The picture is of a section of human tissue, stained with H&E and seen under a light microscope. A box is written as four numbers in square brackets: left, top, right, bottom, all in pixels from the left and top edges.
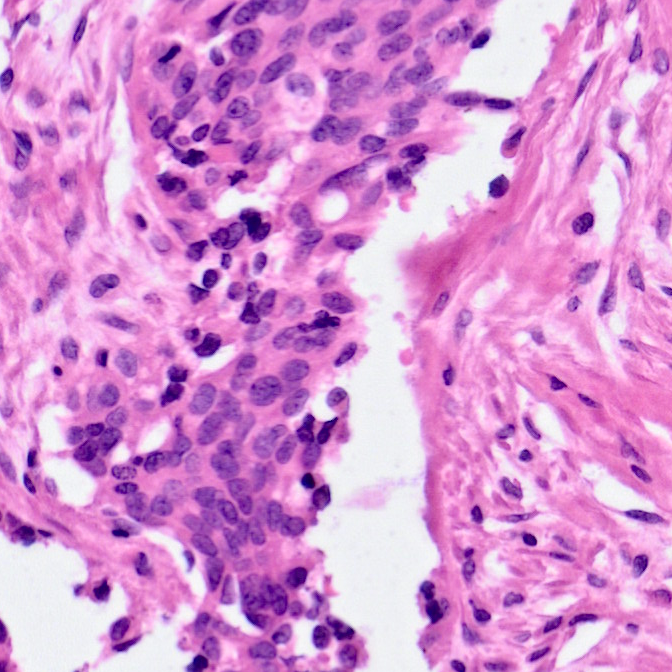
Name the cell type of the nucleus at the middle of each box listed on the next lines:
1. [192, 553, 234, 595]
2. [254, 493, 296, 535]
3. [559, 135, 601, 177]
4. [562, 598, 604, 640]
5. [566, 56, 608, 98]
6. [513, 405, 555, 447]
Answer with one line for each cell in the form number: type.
1: carcinoma cell
2: carcinoma cell
3: fibroblast
4: fibroblast
5: fibroblast
6: fibroblast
